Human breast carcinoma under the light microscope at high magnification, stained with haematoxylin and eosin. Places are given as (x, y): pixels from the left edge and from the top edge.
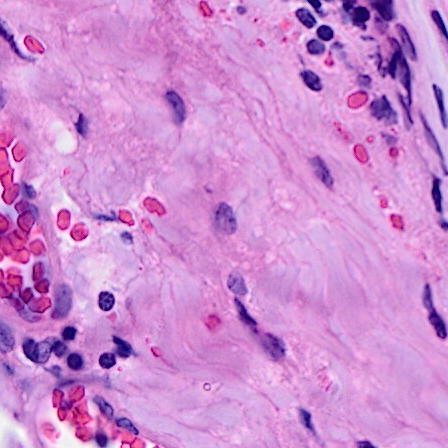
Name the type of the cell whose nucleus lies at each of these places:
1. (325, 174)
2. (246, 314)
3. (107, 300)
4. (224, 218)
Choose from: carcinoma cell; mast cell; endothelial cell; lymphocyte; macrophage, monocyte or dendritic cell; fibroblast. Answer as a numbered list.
1. fibroblast
2. fibroblast
3. lymphocyte
4. fibroblast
